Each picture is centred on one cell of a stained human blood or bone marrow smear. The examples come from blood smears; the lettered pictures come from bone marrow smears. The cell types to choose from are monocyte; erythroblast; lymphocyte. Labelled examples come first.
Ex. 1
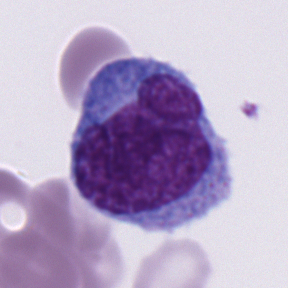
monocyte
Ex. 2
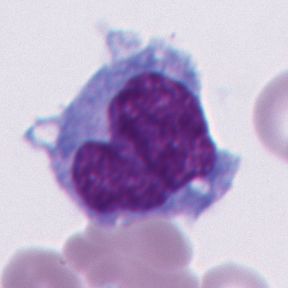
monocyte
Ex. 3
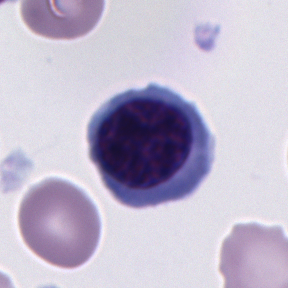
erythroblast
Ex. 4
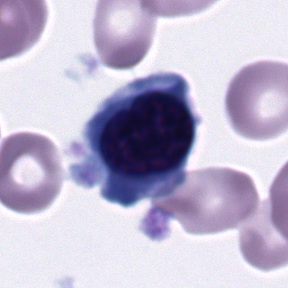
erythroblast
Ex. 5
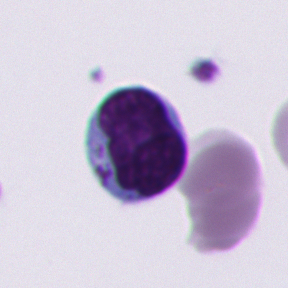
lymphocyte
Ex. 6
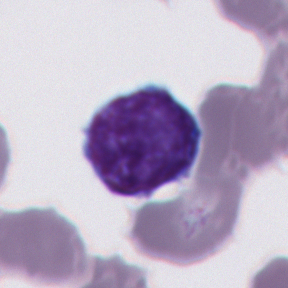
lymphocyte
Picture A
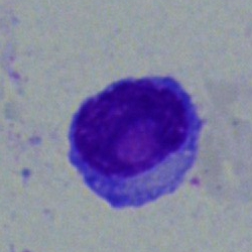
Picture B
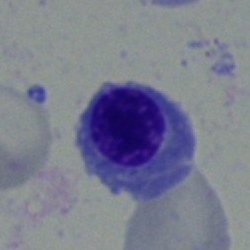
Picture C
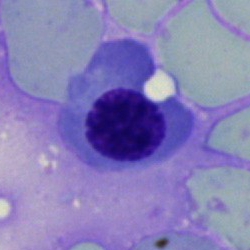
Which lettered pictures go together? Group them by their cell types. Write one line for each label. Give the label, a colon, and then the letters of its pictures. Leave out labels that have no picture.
erythroblast: B, C
lymphocyte: A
